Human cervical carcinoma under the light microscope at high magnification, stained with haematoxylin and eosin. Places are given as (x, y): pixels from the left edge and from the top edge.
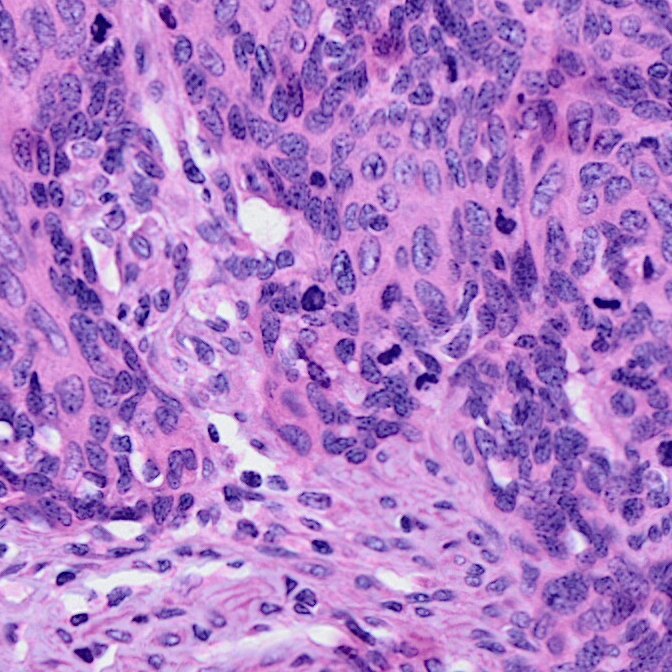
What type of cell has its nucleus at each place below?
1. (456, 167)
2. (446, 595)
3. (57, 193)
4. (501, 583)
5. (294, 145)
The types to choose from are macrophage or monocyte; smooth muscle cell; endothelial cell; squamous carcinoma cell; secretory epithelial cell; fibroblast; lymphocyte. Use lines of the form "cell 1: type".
cell 1: squamous carcinoma cell
cell 2: smooth muscle cell
cell 3: squamous carcinoma cell
cell 4: smooth muscle cell
cell 5: squamous carcinoma cell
